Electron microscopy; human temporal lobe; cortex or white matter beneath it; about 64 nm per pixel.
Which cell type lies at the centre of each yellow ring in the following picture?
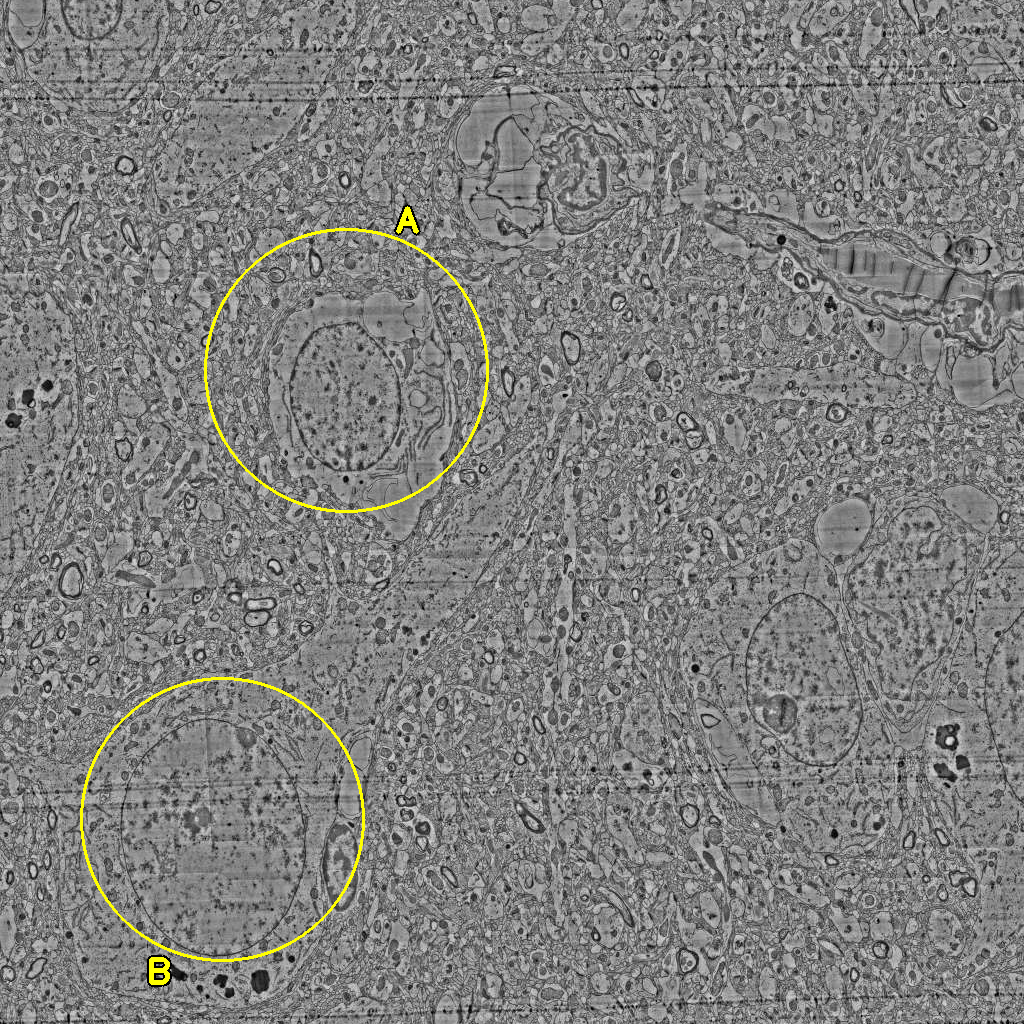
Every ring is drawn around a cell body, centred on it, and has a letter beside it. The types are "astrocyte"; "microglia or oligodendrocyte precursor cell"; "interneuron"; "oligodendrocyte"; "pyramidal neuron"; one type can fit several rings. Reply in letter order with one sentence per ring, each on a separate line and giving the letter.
Ring A marks the cell body of an astrocyte.
Ring B marks the cell body of a pyramidal neuron.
